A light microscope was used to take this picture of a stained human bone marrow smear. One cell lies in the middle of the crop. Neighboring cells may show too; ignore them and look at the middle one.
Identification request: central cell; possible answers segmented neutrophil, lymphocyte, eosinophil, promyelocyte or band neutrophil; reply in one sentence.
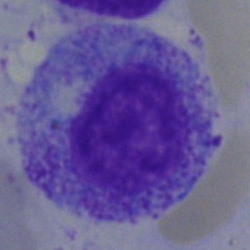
The centrally positioned cell in the crop represents a promyelocyte.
